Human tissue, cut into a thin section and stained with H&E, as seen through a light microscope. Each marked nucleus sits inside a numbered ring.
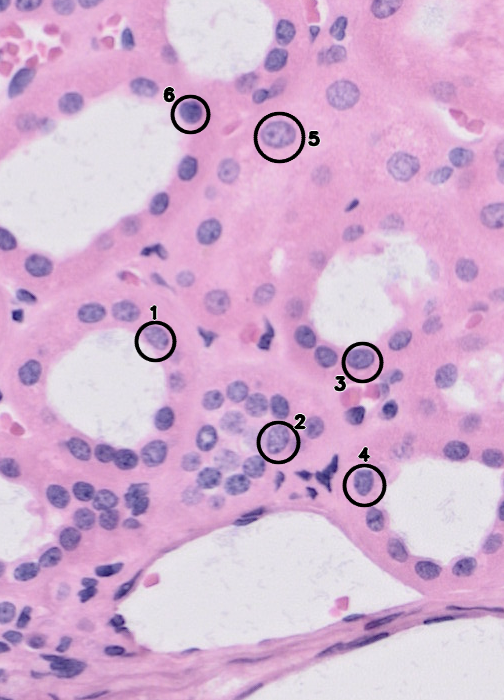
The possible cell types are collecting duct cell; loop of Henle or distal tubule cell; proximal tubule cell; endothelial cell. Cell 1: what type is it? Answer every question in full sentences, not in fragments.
The cell pointed out by number 1 is a loop of Henle or distal tubule cell.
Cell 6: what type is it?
Cell 6 in the field is a loop of Henle or distal tubule cell.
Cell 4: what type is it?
The marked cell bearing number 4 is a loop of Henle or distal tubule cell.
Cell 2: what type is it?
Identified as a collecting duct cell is the cell bearing the number 2.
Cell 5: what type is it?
The one labeled 5 is a proximal tubule cell, to put it simply.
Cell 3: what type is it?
The mark numbered 3 indicates the nucleus of a loop of Henle or distal tubule cell.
